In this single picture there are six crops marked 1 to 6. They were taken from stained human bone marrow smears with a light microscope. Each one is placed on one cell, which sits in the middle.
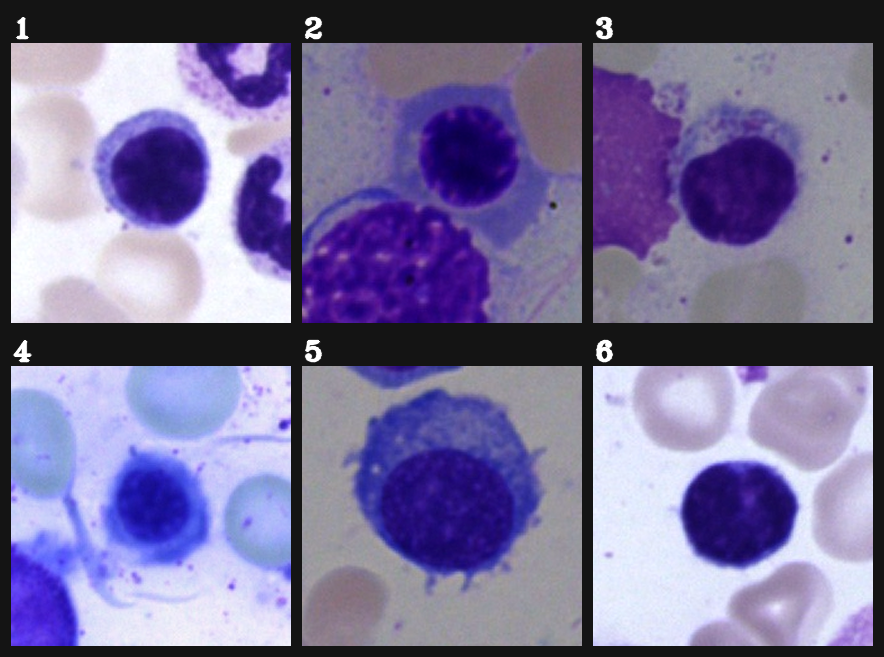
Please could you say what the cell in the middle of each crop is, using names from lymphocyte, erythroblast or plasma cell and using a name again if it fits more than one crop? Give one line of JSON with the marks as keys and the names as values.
{"1": "lymphocyte", "2": "erythroblast", "3": "lymphocyte", "4": "erythroblast", "5": "plasma cell", "6": "lymphocyte"}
